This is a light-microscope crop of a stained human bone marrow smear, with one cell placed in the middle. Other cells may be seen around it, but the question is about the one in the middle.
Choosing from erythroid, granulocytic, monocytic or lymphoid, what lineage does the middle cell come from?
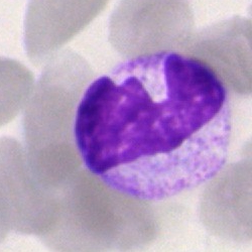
granulocytic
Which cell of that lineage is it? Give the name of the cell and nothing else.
band neutrophil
